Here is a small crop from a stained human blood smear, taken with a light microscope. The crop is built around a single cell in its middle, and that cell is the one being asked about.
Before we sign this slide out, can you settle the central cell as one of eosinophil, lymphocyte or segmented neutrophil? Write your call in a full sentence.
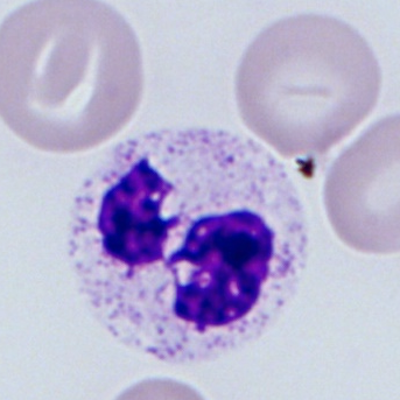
Standing at the centre of this crop is a segmented neutrophil.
